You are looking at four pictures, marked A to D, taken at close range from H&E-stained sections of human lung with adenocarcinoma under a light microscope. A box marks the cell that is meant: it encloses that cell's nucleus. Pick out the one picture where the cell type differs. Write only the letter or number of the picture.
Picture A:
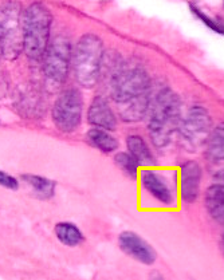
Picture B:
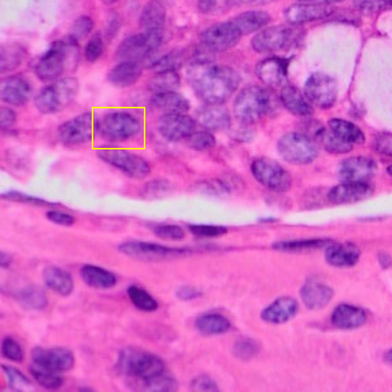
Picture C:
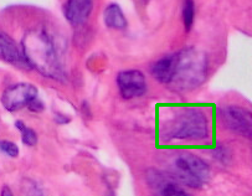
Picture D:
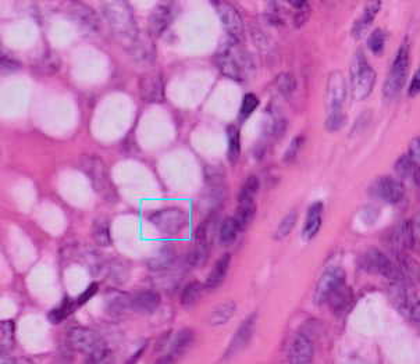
C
